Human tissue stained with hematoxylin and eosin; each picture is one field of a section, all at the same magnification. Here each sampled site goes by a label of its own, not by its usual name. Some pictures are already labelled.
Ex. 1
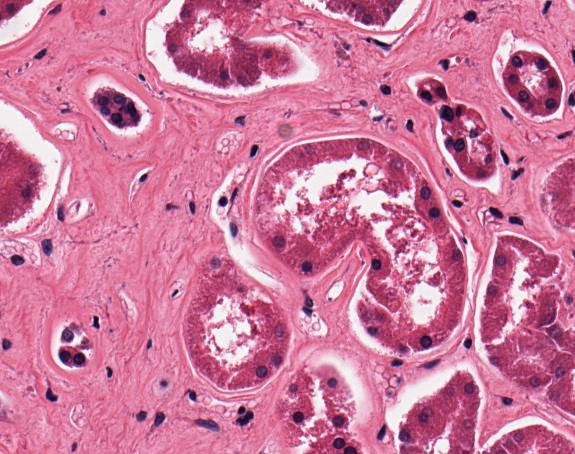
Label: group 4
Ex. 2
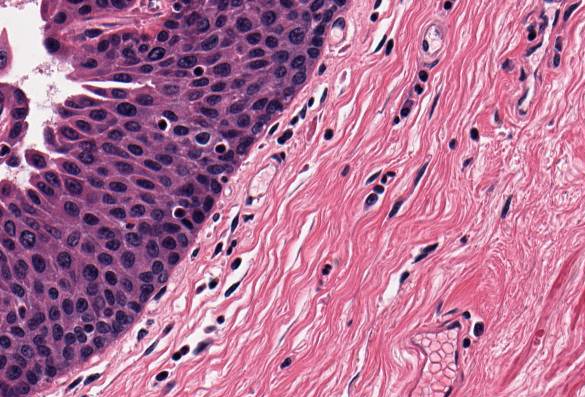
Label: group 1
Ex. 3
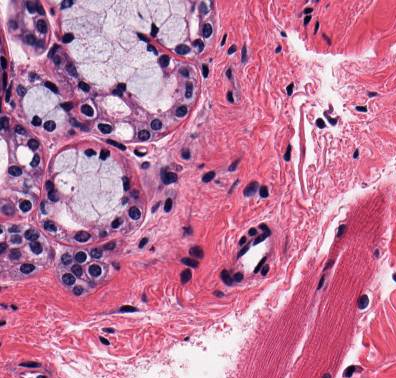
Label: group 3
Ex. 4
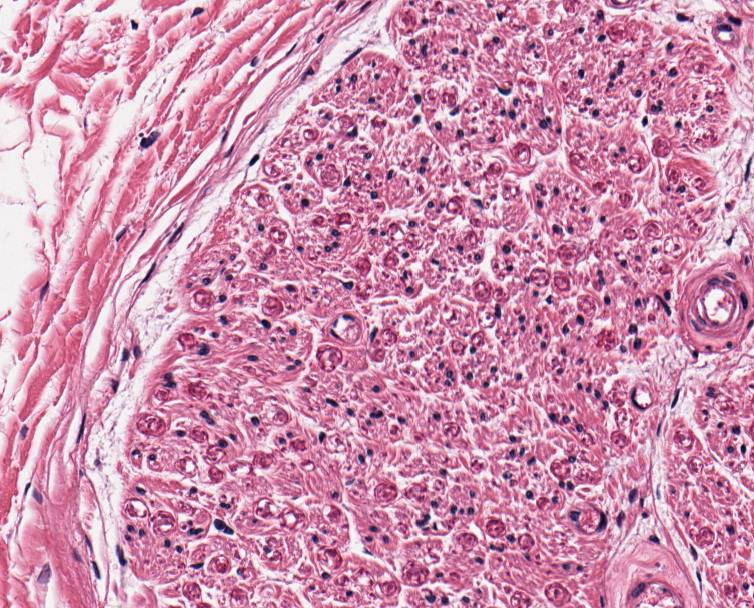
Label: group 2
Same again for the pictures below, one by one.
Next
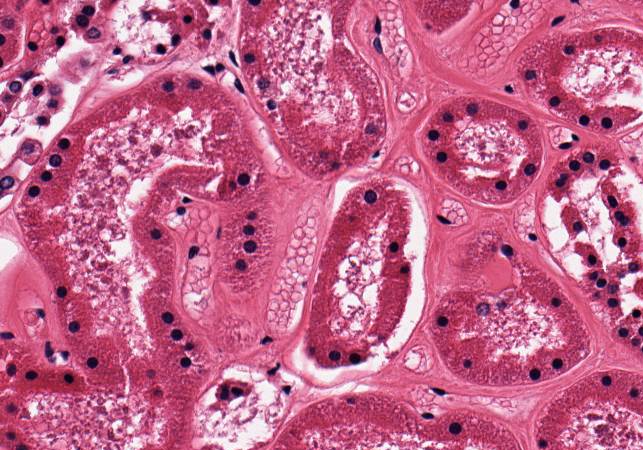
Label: group 4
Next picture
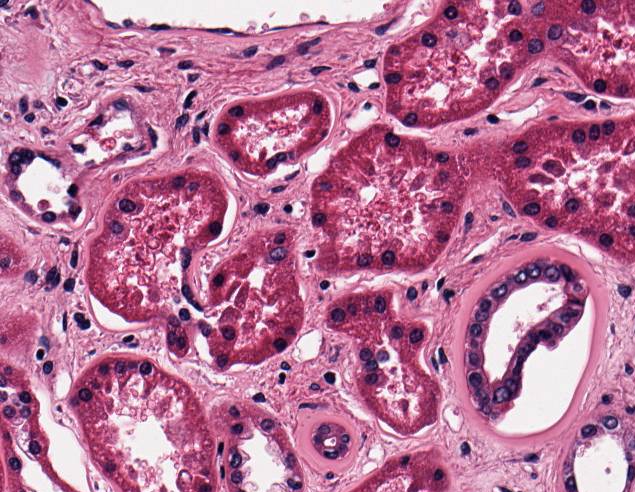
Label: group 4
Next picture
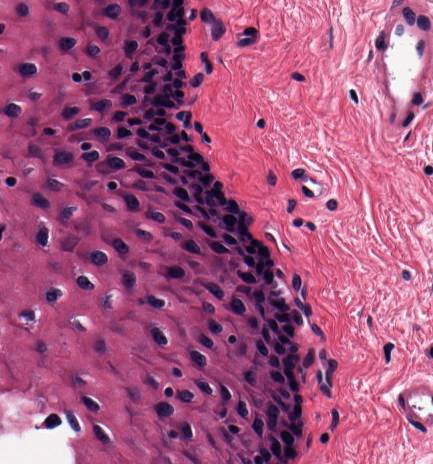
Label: group 1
